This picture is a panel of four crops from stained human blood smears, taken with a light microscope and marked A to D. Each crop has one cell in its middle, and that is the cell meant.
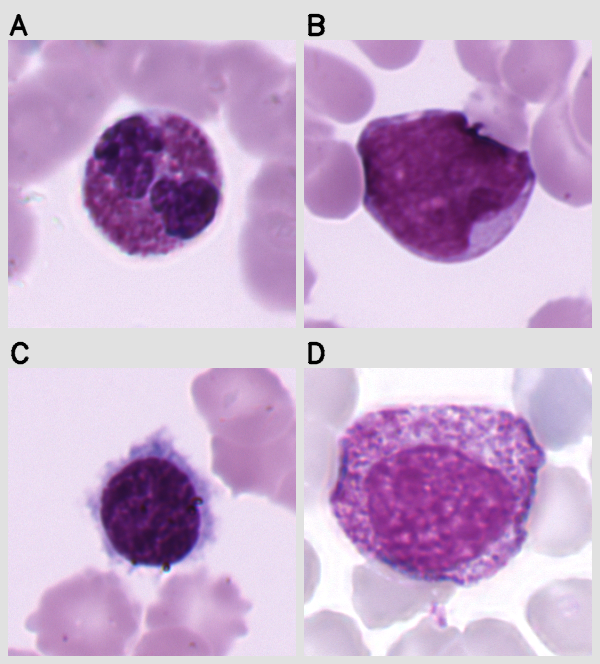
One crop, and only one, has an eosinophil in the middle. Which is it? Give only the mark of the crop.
A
